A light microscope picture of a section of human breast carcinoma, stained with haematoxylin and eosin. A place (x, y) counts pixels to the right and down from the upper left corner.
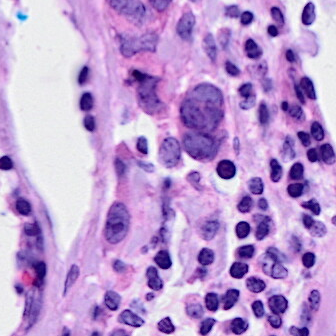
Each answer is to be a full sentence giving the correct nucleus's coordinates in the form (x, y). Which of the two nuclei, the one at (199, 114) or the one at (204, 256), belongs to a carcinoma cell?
It is the nucleus at (199, 114) that belongs to a carcinoma cell.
